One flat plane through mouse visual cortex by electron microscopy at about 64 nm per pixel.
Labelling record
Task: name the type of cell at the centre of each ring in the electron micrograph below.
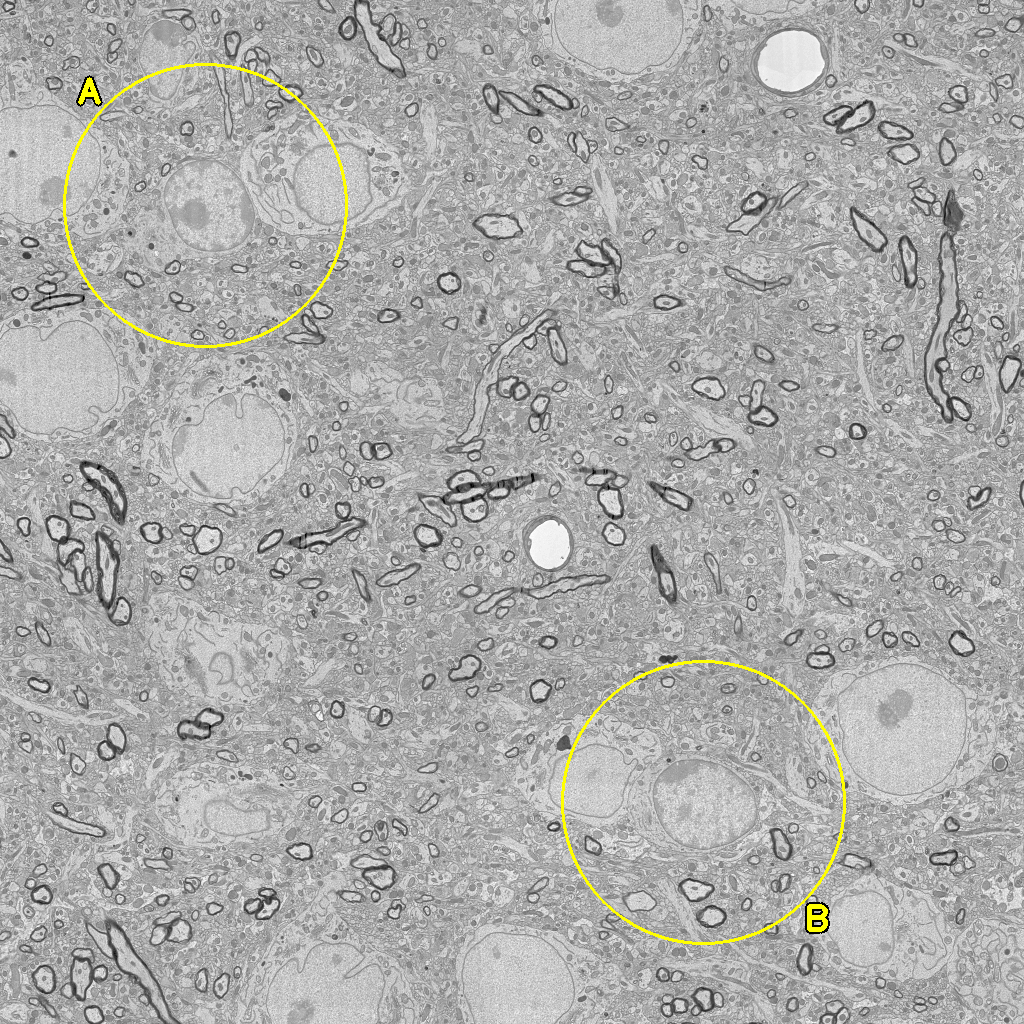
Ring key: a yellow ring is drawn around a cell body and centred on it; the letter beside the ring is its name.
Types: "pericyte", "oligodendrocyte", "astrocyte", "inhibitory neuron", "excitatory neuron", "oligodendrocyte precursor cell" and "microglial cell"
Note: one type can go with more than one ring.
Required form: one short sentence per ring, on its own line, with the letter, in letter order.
In ring A, the centred cell is an oligodendrocyte.
In ring B, the centred cell is an oligodendrocyte.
